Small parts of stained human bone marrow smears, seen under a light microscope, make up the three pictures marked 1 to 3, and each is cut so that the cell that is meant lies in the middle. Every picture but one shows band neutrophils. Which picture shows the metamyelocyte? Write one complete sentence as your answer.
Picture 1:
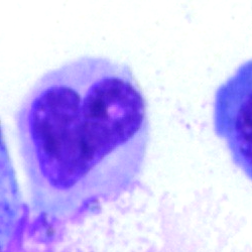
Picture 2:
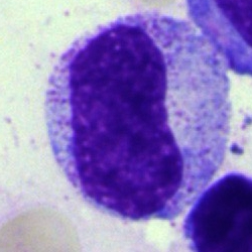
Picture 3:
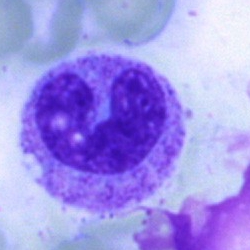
It is picture 2 that shows the metamyelocyte.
